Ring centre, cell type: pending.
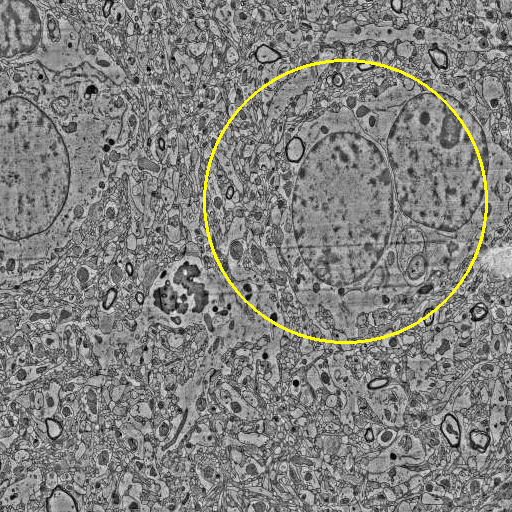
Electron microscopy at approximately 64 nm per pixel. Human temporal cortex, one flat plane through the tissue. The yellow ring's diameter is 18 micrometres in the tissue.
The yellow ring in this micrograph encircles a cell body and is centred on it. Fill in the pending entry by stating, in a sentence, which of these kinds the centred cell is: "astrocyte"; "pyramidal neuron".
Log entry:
The centred cell is recorded as an astrocyte.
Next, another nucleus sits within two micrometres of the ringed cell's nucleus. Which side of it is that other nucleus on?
The other one is to the upper right of it.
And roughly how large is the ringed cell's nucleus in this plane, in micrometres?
Clearly longer than it is wide in this plane, the nucleus measures roughly 10 by 6 micrometres.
